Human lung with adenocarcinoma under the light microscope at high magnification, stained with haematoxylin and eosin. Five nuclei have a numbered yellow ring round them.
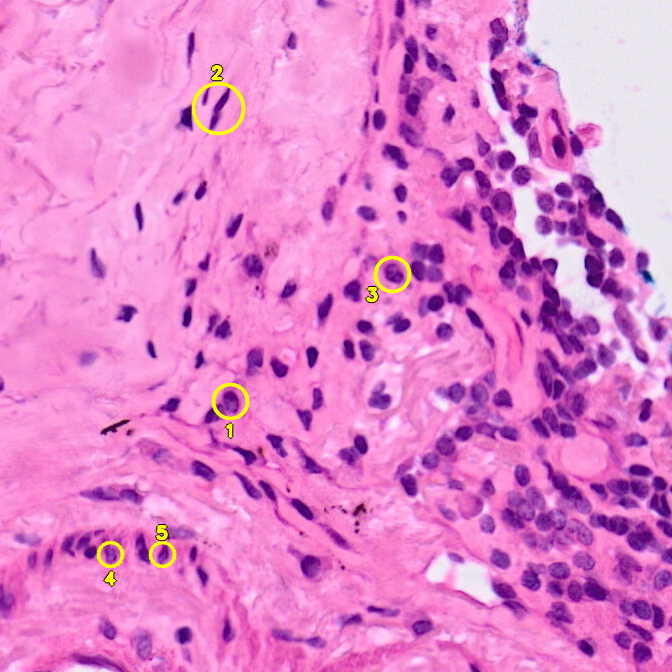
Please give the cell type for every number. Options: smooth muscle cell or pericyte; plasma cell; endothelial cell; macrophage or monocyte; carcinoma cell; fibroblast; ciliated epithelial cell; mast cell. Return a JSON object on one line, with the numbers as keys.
{"1": "plasma cell", "2": "fibroblast", "3": "plasma cell", "4": "smooth muscle cell or pericyte", "5": "smooth muscle cell or pericyte"}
